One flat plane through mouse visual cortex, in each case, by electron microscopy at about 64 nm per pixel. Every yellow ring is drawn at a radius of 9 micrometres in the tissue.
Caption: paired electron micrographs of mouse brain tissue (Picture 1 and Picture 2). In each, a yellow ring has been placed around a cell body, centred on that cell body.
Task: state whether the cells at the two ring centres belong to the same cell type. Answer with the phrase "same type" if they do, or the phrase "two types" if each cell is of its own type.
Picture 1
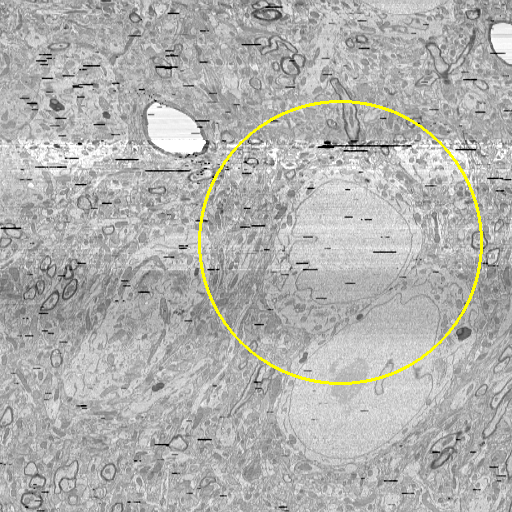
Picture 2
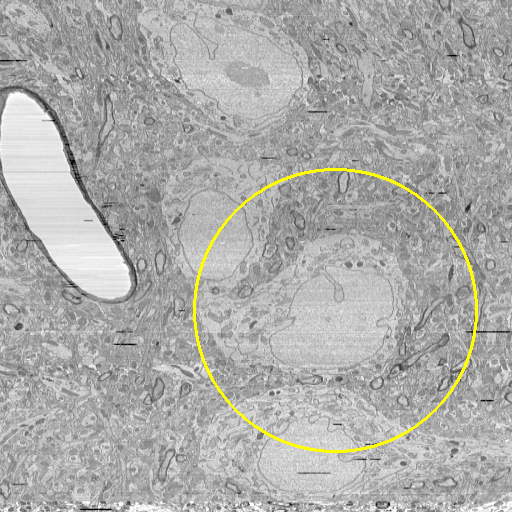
same type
